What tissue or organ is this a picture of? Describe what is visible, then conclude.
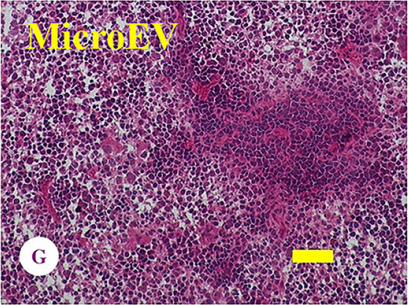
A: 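A rounded aggregate of densely packed small cells with dark round nuclei.
Answer: spleen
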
